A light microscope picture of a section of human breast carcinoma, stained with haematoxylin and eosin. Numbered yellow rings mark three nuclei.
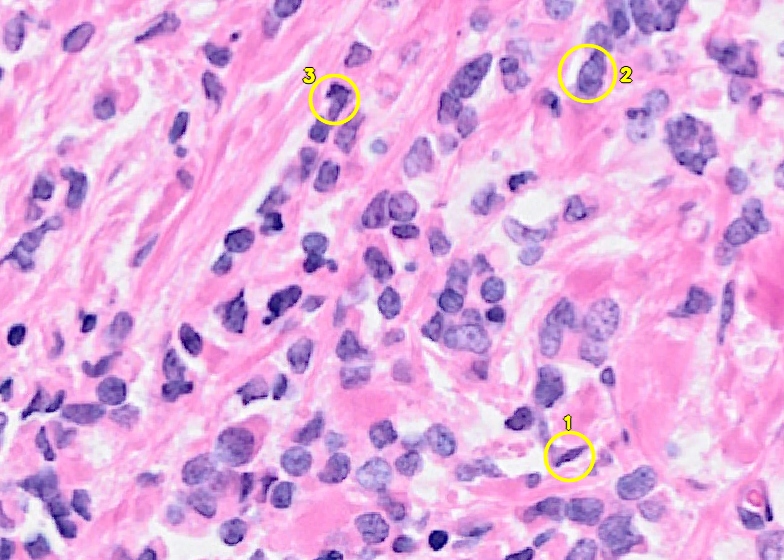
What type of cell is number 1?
fibroblast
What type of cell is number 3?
lymphocyte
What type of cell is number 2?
carcinoma cell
